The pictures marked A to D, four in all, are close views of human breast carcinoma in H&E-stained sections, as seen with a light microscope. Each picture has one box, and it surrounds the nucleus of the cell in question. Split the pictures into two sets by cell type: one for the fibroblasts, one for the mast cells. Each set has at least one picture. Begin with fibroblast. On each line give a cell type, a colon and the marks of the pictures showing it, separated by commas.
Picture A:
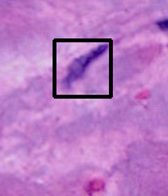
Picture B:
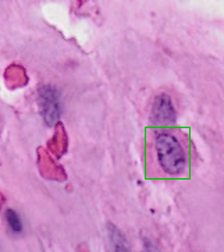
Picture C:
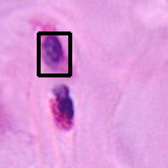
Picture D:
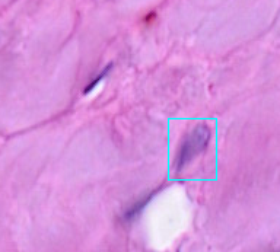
fibroblast: A, D
mast cell: B, C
